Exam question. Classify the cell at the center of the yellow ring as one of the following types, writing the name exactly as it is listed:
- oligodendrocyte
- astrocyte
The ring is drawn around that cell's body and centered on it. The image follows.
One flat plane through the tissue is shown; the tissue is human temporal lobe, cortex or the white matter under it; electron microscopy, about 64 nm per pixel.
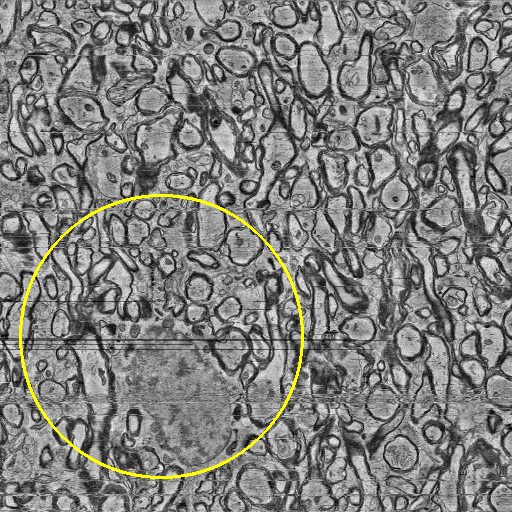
oligodendrocyte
